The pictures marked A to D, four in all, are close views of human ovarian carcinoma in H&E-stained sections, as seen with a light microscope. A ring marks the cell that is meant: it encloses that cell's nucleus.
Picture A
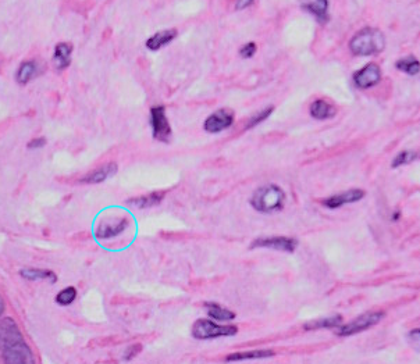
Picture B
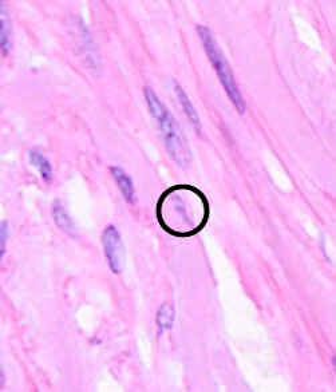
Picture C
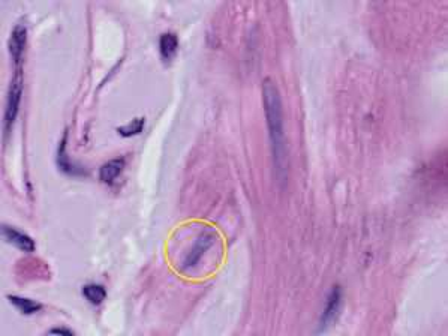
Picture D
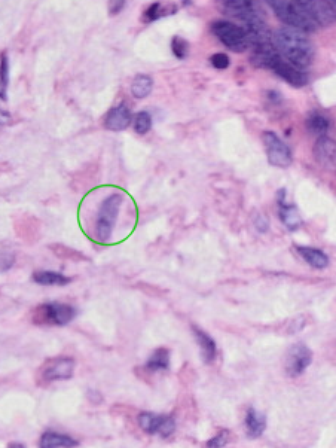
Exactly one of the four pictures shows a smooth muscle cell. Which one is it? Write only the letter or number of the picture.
C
